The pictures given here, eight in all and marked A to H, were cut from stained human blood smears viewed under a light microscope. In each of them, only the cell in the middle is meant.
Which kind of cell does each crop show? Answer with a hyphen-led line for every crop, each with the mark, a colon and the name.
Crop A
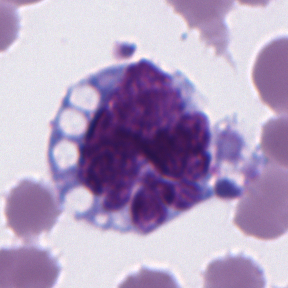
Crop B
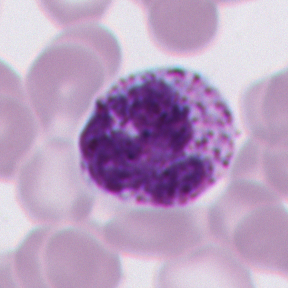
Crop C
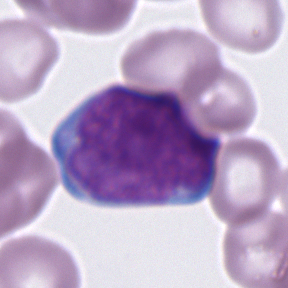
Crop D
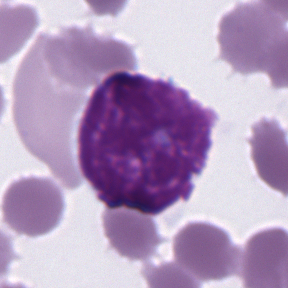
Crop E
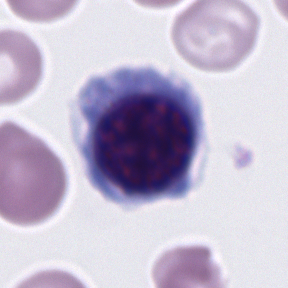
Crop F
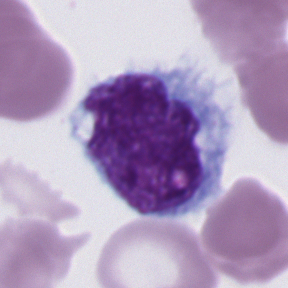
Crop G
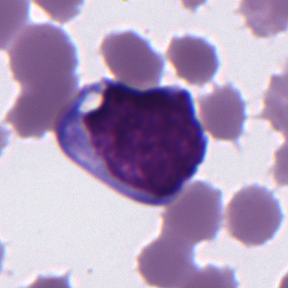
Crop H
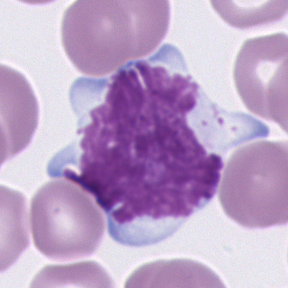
- A: monocyte
- B: basophil
- C: myeloblast
- D: smudge cell
- E: normoblast
- F: monocyte
- G: typical lymphocyte
- H: large granular lymphocyte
